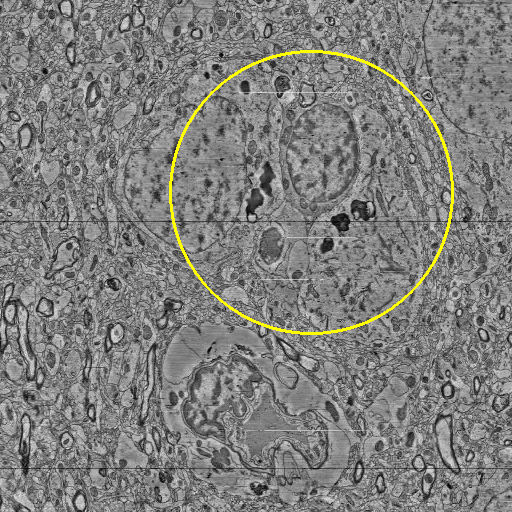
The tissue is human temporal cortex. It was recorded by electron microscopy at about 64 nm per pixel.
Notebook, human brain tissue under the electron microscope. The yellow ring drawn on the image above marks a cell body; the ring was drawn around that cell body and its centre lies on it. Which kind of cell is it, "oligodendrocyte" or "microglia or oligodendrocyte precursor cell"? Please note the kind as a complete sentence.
The marked cell body is that of an oligodendrocyte.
